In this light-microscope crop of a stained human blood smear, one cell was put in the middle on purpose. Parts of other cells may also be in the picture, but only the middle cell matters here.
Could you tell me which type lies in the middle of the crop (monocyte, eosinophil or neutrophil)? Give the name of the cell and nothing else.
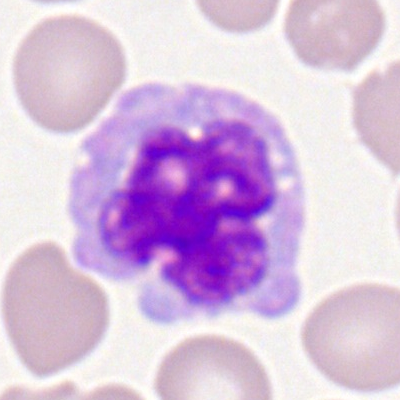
monocyte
